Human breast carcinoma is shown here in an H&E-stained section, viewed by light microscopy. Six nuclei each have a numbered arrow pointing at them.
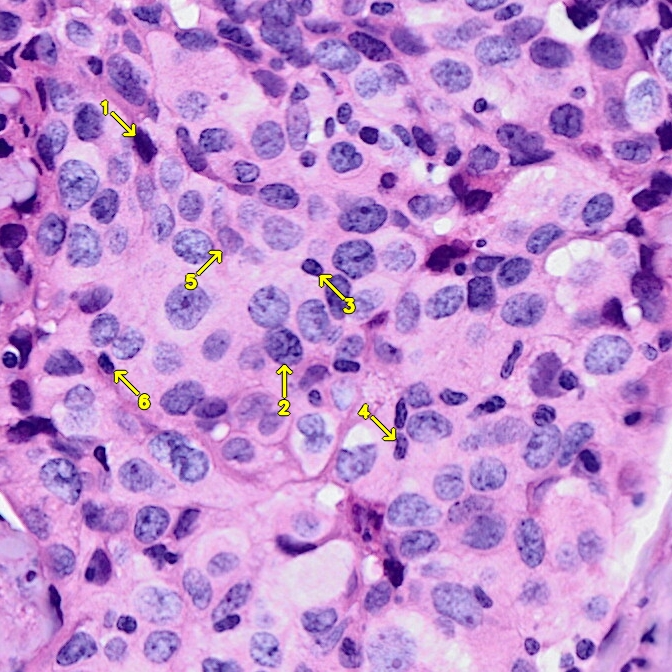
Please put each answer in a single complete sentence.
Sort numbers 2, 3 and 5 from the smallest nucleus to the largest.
Smallest first, the nuclei run 3, 5, 2.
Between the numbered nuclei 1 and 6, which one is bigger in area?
Nucleus 1 covers more area, about 2 times as much as nucleus 6.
